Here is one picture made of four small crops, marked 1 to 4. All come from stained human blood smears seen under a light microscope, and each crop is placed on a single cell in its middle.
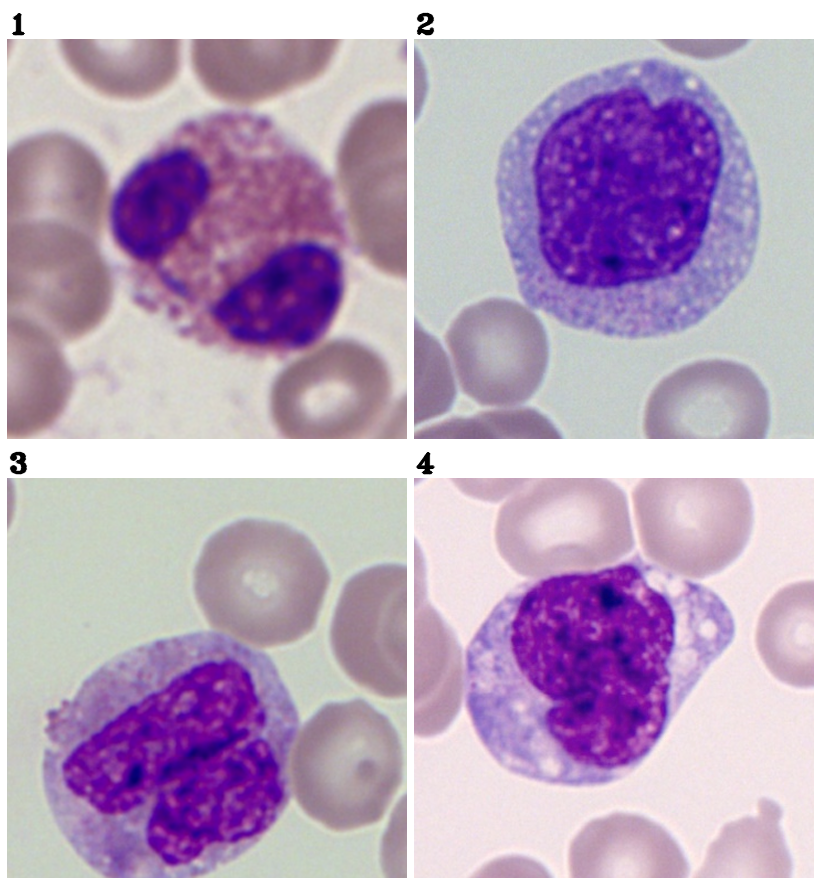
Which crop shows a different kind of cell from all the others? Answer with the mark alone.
1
